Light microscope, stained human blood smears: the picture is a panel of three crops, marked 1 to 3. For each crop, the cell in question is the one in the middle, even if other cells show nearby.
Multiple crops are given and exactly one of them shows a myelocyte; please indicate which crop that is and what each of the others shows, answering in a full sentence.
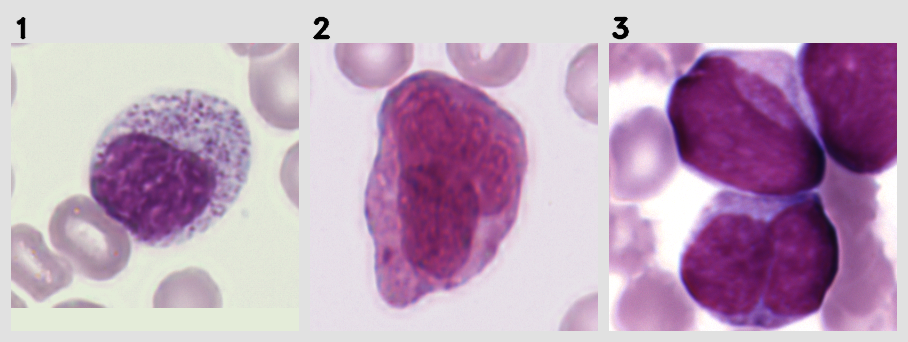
Crop 1 is identified as a myelocyte, whereas crop 2 is an atypical promyelocyte and crop 3 is a myeloblast.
